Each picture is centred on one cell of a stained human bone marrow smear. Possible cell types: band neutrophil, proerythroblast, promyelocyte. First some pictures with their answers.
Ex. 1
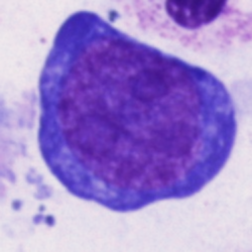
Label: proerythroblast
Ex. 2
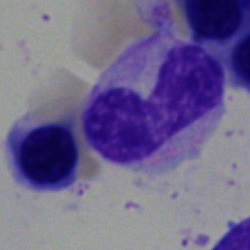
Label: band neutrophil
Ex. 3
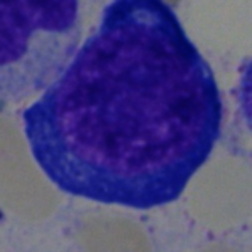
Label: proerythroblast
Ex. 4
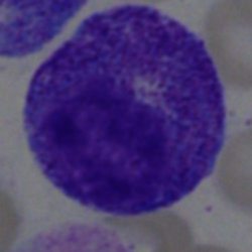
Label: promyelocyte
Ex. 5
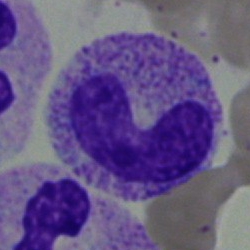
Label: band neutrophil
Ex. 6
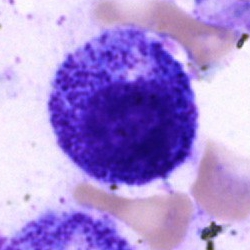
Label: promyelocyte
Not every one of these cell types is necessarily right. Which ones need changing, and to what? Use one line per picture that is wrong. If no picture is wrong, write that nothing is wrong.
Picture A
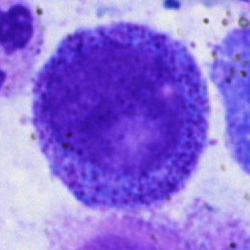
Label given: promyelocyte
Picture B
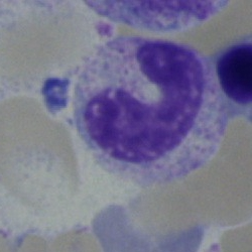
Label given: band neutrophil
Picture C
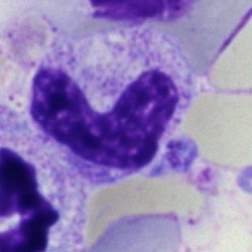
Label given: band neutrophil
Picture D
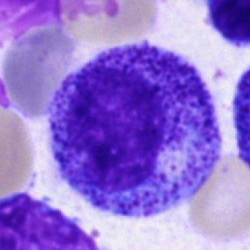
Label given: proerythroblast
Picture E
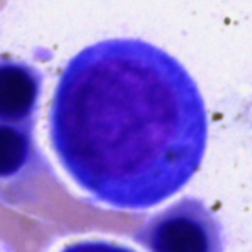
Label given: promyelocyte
Wrong: D (proerythroblast); correct: promyelocyte
Wrong: E (promyelocyte); correct: proerythroblast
